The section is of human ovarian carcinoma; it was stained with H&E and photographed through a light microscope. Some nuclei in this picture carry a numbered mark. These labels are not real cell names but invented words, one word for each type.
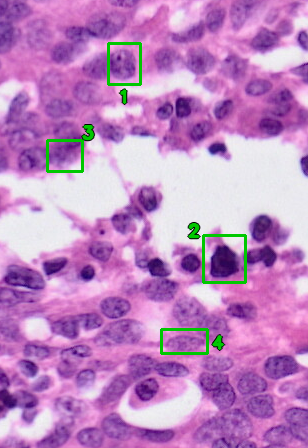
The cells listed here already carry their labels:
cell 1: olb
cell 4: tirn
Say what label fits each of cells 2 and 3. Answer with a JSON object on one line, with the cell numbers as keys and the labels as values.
{"2": "tirn", "3": "tirn"}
